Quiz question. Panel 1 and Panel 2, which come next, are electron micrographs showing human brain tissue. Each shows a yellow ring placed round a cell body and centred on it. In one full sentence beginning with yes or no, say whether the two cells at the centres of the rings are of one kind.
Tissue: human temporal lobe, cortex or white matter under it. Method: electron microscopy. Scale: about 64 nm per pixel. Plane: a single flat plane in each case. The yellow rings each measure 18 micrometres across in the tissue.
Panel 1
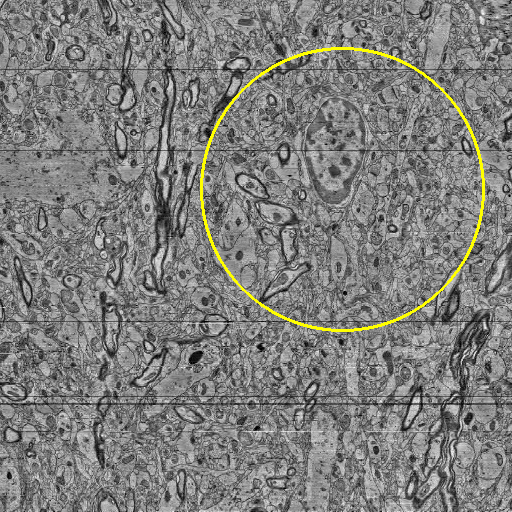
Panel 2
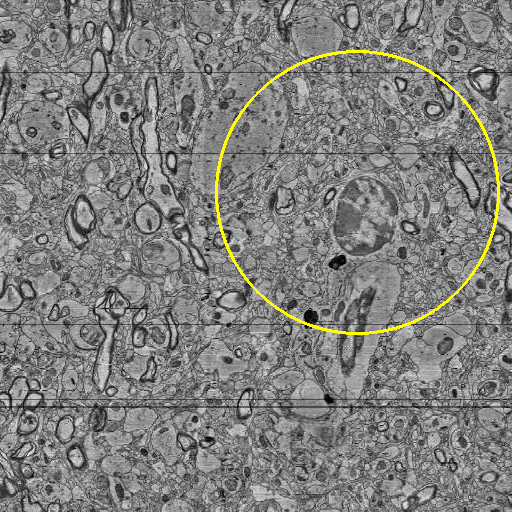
Yes, Panel 1 and Panel 2 show one kind of cell at the centre of the ring.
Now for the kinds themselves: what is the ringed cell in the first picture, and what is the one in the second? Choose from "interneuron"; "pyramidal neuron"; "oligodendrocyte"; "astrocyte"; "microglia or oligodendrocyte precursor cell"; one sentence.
In the first picture and in the second, the ring is centred on a microglial cell or oligodendrocyte precursor cell.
